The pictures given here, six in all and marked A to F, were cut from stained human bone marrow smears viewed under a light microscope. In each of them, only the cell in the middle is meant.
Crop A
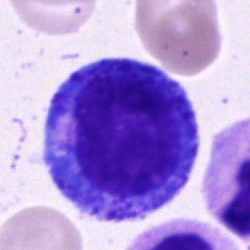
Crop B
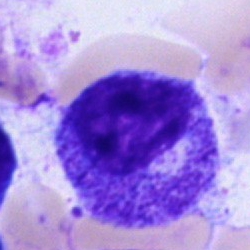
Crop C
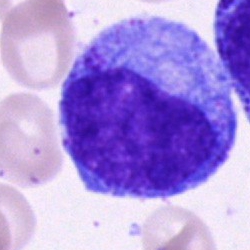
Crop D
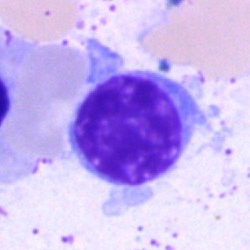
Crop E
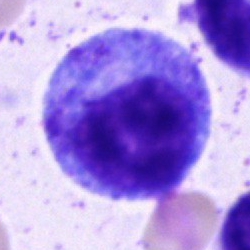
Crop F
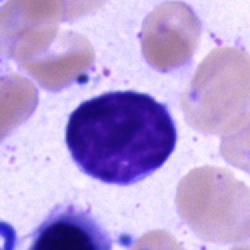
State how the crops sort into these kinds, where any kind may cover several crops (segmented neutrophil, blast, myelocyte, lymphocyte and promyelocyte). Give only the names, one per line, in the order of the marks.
promyelocyte
myelocyte
promyelocyte
lymphocyte
promyelocyte
lymphocyte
